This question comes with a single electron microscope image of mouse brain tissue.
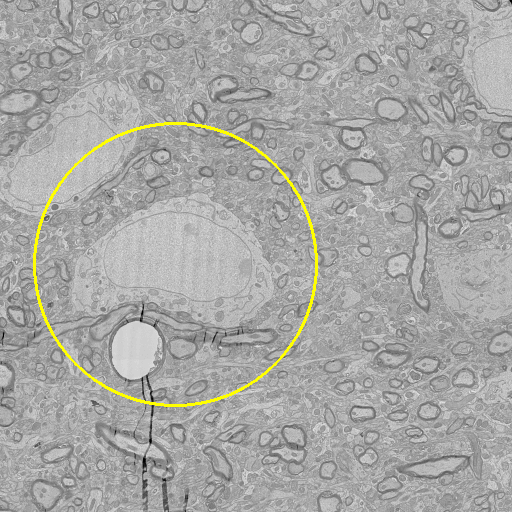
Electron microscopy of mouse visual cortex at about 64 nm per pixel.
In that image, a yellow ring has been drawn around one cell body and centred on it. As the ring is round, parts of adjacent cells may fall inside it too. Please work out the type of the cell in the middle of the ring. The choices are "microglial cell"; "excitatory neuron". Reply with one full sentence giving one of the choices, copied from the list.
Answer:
Of the choices, an excitatory neuron is the cell sitting in the middle of the ring.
